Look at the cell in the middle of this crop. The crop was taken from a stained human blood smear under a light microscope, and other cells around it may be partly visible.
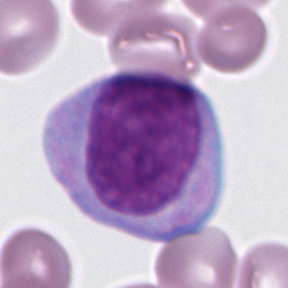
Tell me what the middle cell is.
atypical promyelocyte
